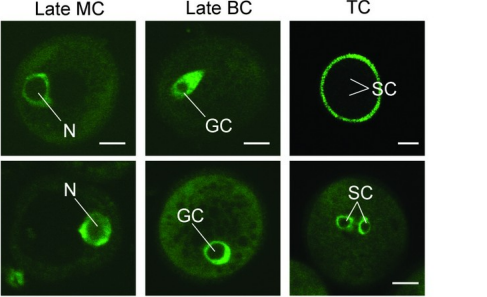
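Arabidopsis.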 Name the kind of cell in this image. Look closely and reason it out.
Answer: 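Large round single cells with a faint green cytoplasm.
Answer: pollen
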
